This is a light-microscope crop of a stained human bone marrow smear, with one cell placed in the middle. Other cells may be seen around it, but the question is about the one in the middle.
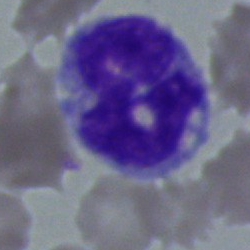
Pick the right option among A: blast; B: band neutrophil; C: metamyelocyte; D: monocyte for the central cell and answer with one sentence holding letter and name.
Option D is right, the centrally situated cell being a monocyte.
